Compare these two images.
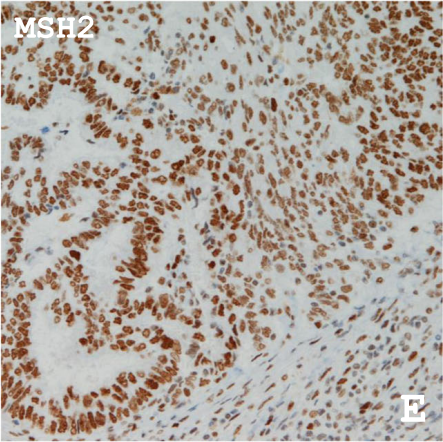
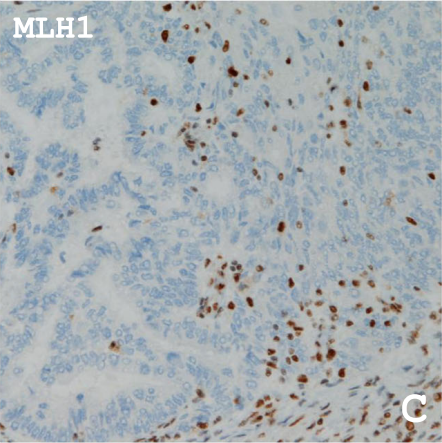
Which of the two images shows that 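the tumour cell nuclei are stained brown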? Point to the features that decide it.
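Second image: glandular and solid tumour nuclei are blue, only scattered small nuclei are brown. First image: nearly all tumour nuclei in glands and solid areas are brown.
Hence: the first image.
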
